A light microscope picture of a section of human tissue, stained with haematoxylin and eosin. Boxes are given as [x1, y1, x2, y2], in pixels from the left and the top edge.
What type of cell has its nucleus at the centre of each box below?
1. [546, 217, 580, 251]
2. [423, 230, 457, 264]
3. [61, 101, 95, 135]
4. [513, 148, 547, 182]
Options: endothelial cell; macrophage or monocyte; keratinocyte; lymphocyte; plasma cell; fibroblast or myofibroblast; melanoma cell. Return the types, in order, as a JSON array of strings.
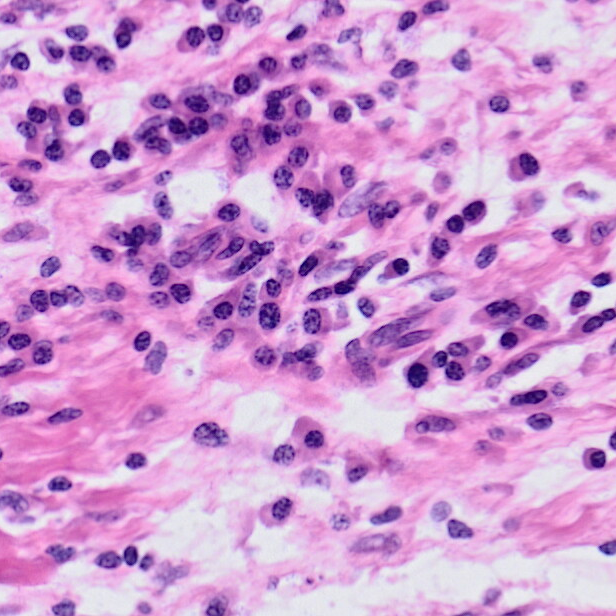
["lymphocyte", "plasma cell", "plasma cell", "plasma cell"]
